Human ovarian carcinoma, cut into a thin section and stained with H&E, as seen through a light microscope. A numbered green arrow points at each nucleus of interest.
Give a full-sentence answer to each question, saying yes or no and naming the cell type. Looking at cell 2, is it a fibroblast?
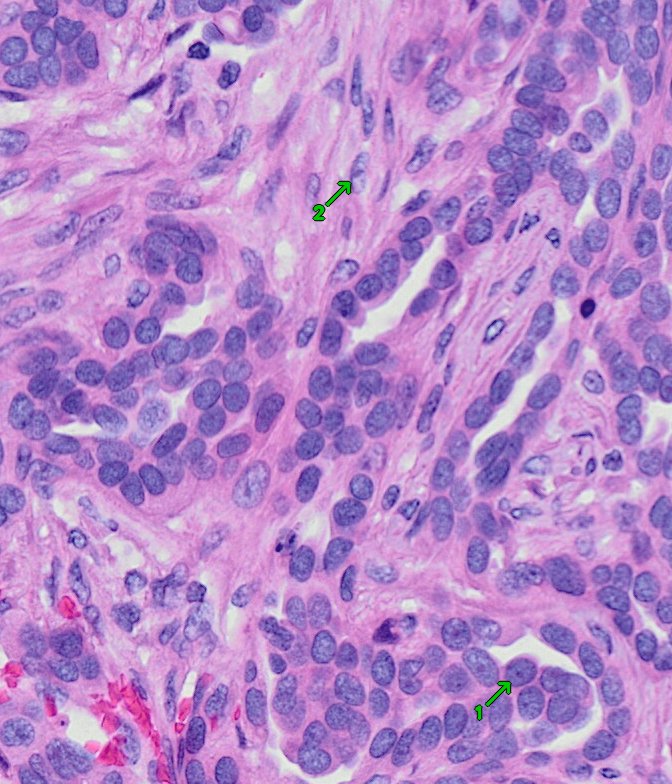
Yes, the cell marked with number 2 is a fibroblast.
